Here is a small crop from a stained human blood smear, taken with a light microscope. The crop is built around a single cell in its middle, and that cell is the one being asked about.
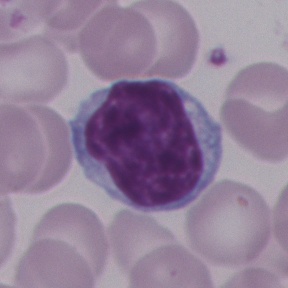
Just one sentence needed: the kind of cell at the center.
The single cell at the center of the crop is a typical lymphocyte.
